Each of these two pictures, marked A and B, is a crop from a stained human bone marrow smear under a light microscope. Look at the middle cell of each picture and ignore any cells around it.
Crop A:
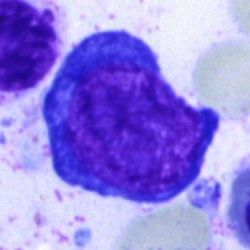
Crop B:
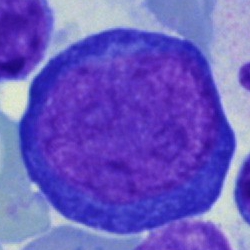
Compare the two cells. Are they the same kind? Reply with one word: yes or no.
yes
